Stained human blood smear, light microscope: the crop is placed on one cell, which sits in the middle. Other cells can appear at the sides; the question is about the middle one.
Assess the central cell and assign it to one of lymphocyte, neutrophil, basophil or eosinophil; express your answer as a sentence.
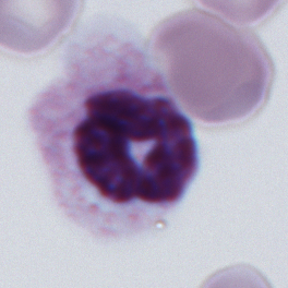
In this crop, the cell at the very middle is a neutrophil.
